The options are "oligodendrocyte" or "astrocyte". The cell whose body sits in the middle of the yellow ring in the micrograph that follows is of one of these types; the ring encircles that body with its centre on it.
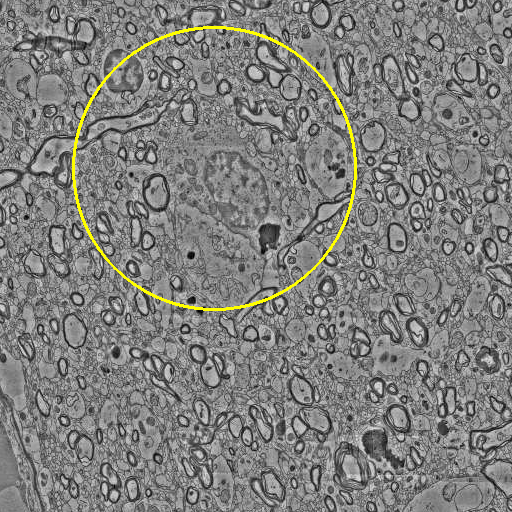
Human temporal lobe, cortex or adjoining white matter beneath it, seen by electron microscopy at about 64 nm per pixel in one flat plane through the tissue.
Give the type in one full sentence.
Going by the micrograph, the cell centred in the yellow ring is an oligodendrocyte.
